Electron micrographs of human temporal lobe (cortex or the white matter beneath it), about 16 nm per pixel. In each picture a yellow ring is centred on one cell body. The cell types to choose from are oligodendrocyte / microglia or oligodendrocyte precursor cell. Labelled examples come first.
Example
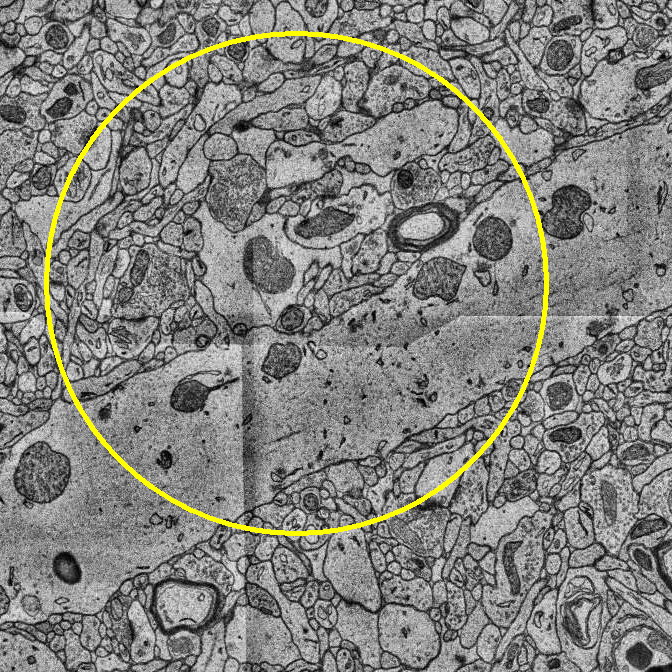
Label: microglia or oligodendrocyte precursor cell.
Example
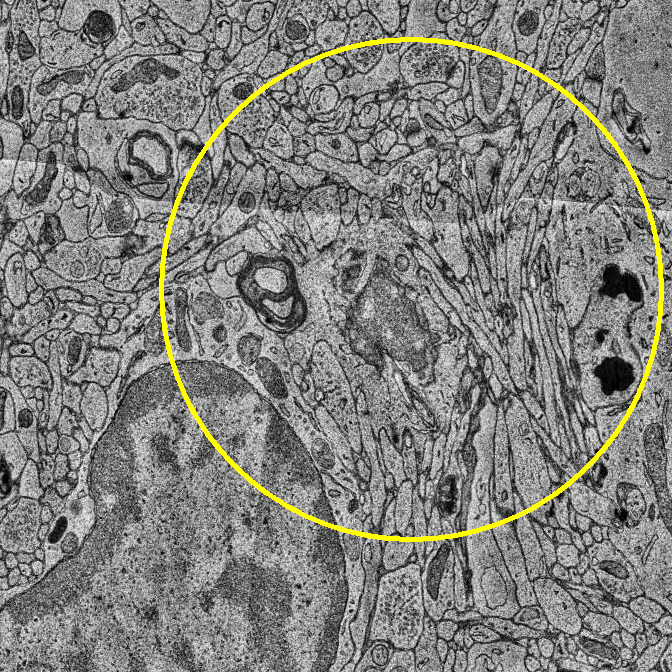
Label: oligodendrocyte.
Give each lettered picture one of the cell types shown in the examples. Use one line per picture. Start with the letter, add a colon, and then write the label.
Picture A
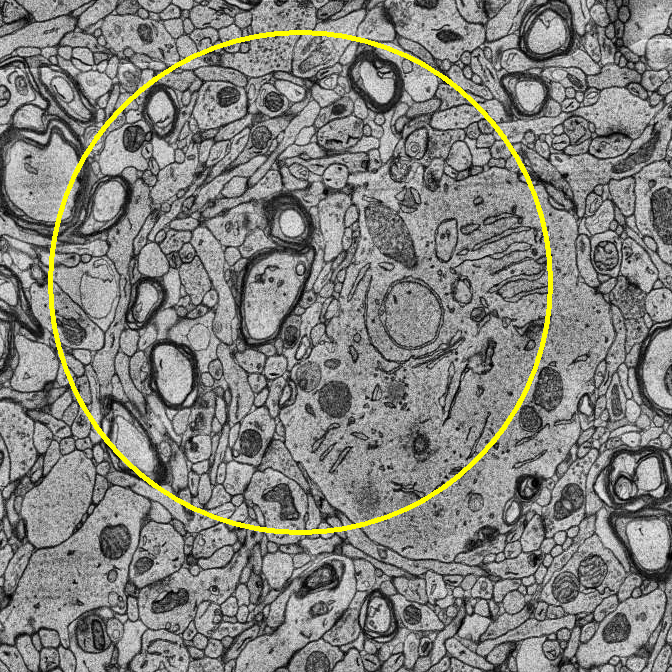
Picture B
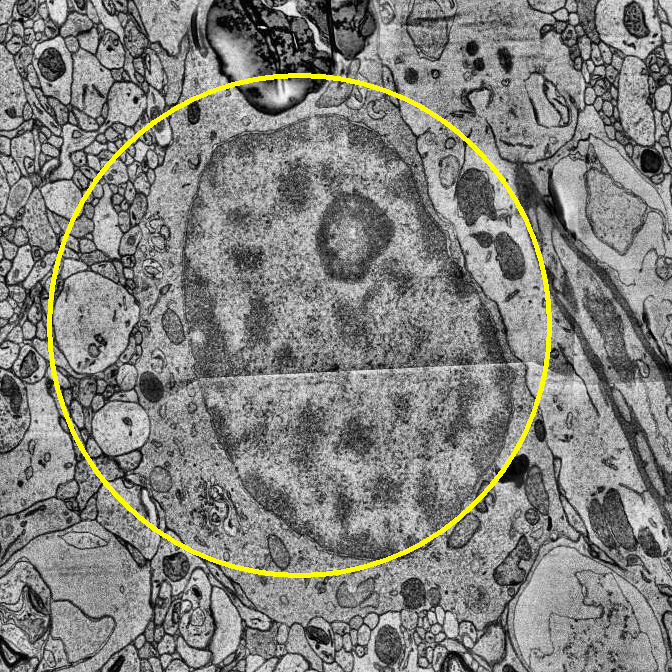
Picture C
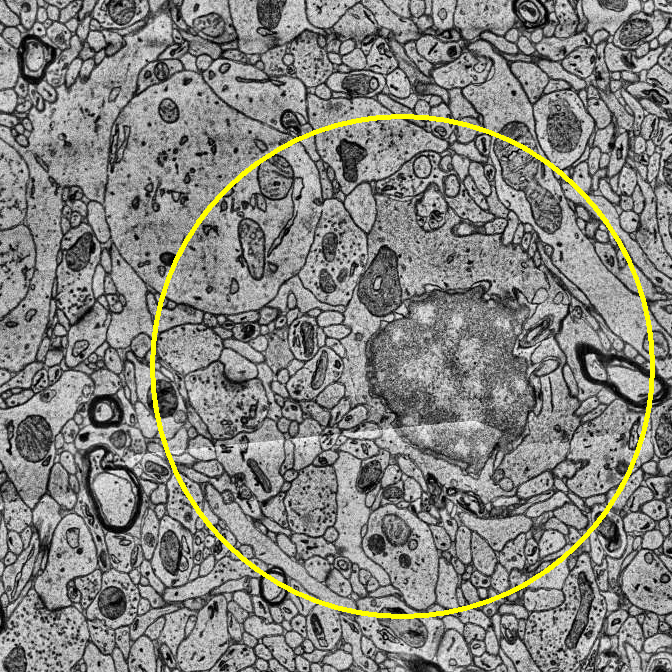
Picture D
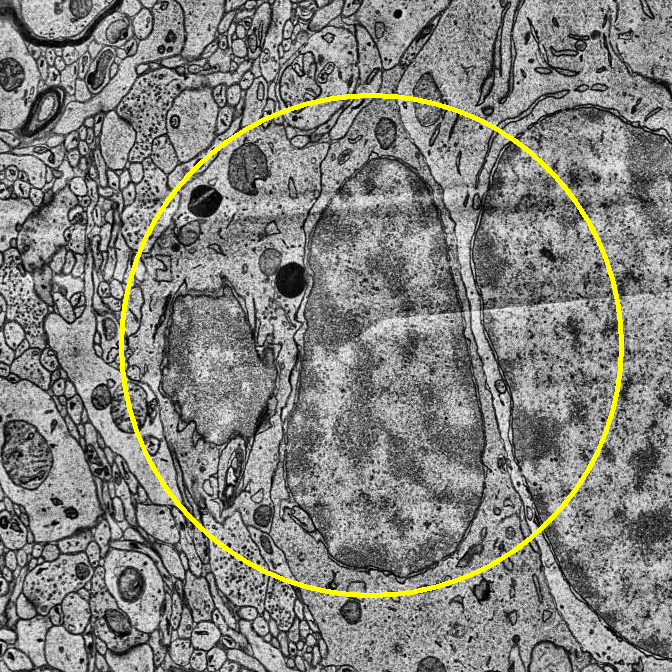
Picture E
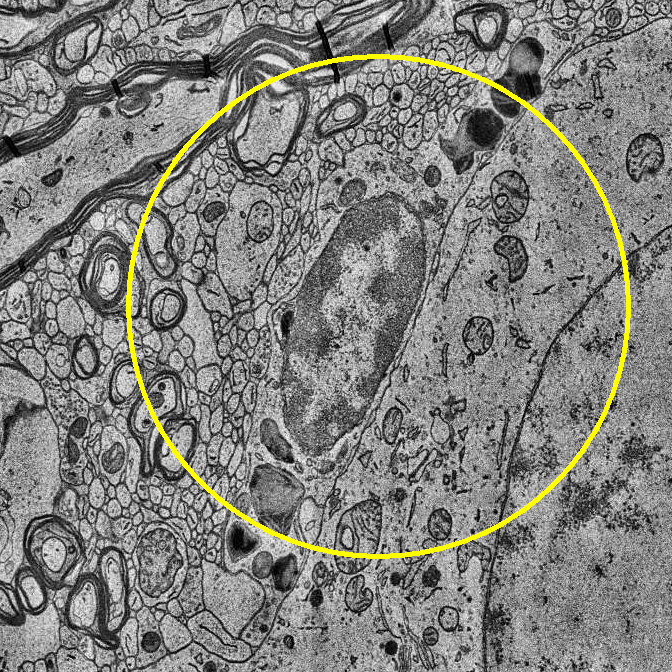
A: microglia or oligodendrocyte precursor cell.
B: oligodendrocyte.
C: oligodendrocyte.
D: oligodendrocyte.
E: microglia or oligodendrocyte precursor cell.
